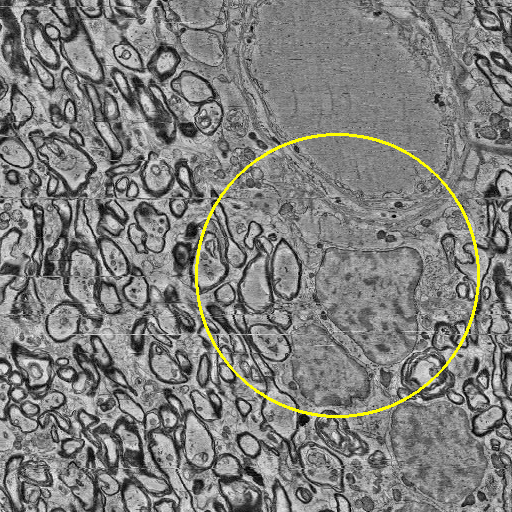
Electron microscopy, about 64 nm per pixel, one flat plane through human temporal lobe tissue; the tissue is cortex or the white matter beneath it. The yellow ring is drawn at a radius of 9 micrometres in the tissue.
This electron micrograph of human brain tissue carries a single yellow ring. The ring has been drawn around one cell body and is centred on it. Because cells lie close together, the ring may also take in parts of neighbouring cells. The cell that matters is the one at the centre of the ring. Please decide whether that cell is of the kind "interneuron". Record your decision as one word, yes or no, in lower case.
no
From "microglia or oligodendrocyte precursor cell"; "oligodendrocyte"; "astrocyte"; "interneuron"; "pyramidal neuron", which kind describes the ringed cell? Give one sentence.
The cell in the ring is a microglial cell or oligodendrocyte precursor cell instead.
